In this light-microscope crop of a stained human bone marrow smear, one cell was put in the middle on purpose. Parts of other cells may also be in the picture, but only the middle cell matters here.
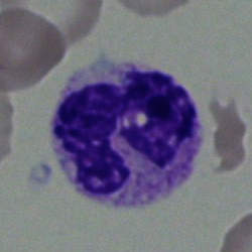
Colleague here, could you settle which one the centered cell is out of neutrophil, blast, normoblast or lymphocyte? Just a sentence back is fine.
At the crop's centre, the cell is a neutrophil.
